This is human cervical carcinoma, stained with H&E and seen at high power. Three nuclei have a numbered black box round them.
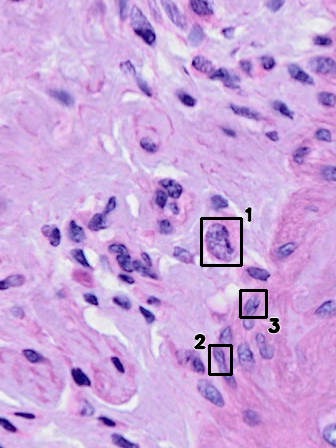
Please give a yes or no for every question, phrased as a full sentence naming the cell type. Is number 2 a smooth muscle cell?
Yes, the one numbered 2 is a smooth muscle cell.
